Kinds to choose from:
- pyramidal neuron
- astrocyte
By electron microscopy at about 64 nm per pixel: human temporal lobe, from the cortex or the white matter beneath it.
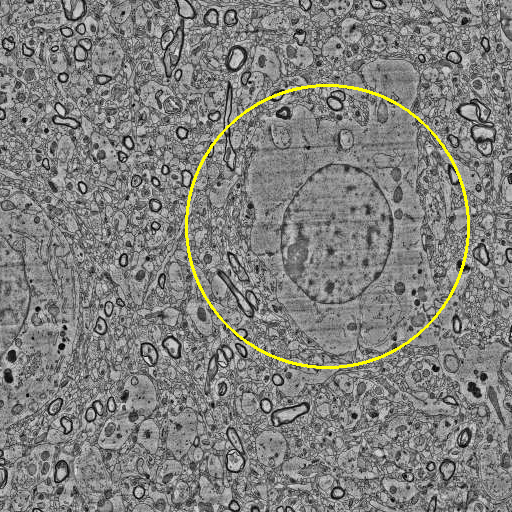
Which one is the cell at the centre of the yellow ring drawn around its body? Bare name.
astrocyte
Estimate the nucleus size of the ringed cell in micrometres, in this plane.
The nucleus comes to roughly 9 by 7 micrometres in this plane.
